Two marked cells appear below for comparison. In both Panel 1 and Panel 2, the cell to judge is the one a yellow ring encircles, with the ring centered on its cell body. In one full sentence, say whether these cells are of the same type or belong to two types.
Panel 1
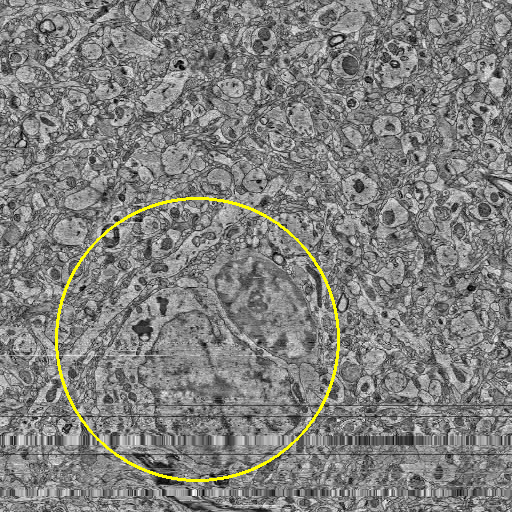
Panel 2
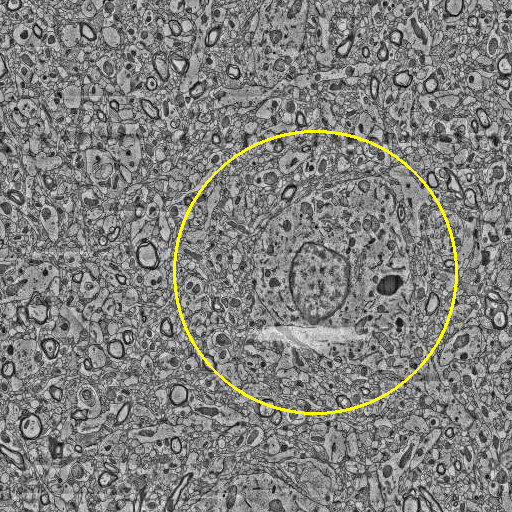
The cell centered in the Panel 1 ring and the one in Panel 2 are of the same type.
